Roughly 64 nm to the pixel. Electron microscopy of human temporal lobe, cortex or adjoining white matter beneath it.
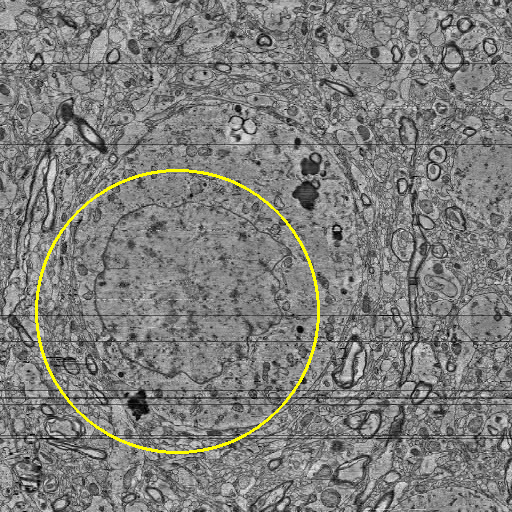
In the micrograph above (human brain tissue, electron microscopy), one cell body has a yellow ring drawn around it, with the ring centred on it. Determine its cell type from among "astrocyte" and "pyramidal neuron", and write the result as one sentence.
The cell whose body is ringed is a pyramidal neuron.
